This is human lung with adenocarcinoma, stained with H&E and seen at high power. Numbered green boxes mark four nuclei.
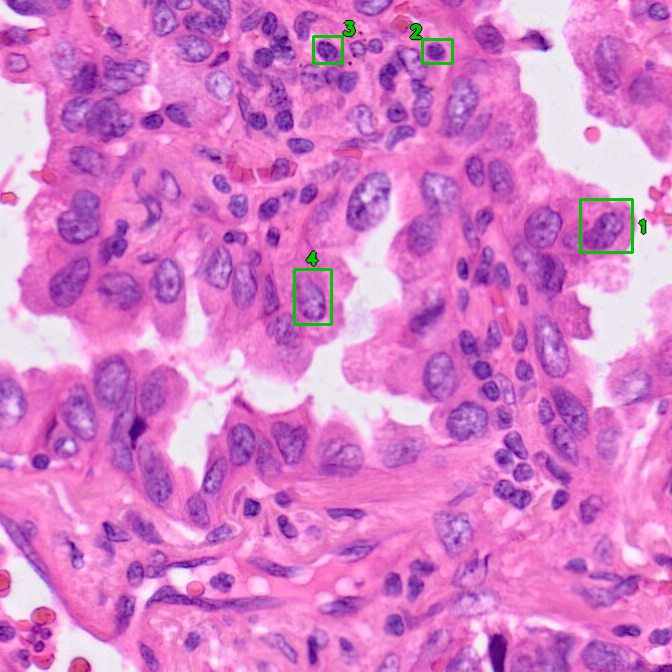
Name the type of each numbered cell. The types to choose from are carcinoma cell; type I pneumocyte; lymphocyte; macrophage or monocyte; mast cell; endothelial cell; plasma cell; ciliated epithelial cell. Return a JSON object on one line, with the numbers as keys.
{"1": "carcinoma cell", "2": "lymphocyte", "3": "lymphocyte", "4": "carcinoma cell"}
